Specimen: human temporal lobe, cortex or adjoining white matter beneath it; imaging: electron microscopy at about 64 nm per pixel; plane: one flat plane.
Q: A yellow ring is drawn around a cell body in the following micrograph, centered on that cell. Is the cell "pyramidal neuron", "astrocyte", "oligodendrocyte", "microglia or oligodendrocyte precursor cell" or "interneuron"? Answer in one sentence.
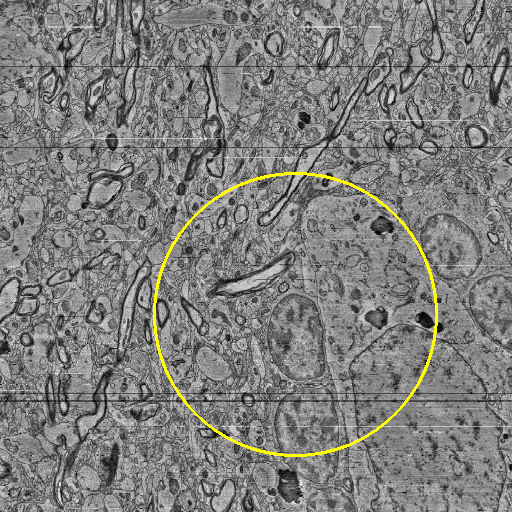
The cell in the center of the ring is an oligodendrocyte.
